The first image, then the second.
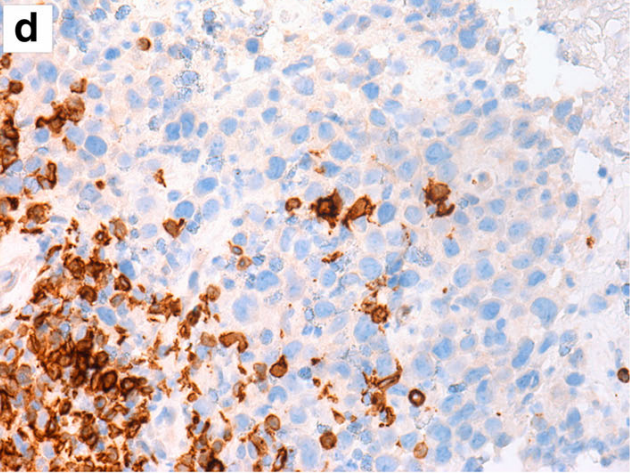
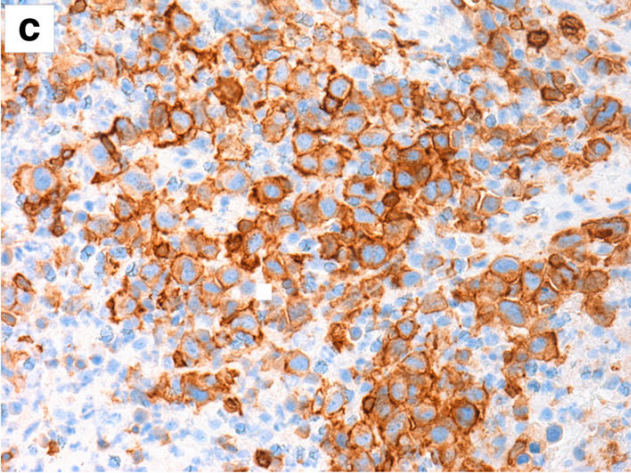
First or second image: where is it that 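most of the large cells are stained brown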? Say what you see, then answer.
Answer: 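First image: the large cells are mostly unstained blue, and brown is confined to small cells in clusters. Second image: brown membrane stain outlines most of the large cells in sheets. On this evidence: the second image.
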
